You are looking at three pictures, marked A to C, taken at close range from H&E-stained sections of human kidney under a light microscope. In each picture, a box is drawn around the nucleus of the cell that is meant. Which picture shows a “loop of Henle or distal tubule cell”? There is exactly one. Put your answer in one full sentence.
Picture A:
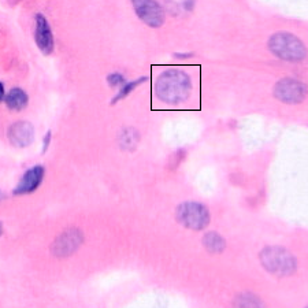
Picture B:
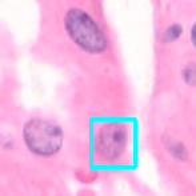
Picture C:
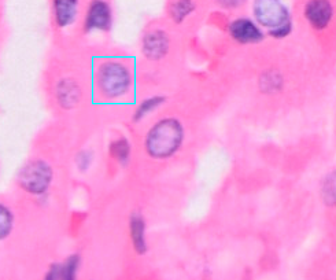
Picture C is the one that shows the “loop of Henle or distal tubule cell”.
